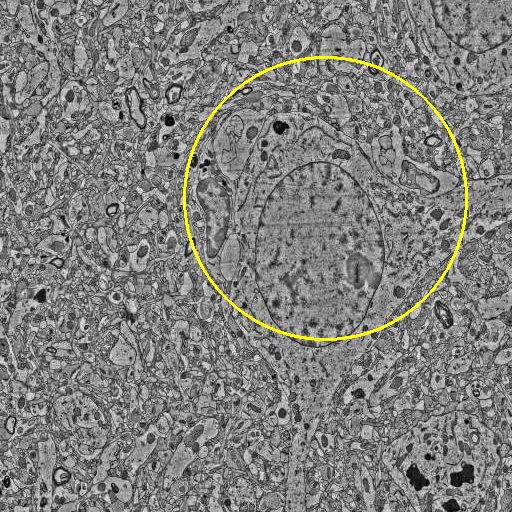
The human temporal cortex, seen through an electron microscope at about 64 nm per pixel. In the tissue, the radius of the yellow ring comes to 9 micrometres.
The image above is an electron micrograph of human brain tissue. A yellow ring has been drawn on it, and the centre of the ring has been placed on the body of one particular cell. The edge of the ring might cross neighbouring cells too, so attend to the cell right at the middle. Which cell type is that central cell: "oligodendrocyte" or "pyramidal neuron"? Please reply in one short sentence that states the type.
The central cell in the ring is a pyramidal neuron.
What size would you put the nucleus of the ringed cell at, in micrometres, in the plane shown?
The ringed cell's nucleus is about 12 micrometres long and 9 micrometres wide in this plane.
